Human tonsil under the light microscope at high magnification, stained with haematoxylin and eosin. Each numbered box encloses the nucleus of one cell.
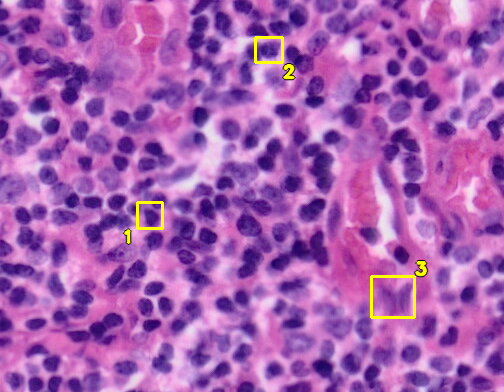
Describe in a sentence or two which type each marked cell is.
Cells 1 and 2 are small lymphocytes. Cell 3 is an endothelial cell.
